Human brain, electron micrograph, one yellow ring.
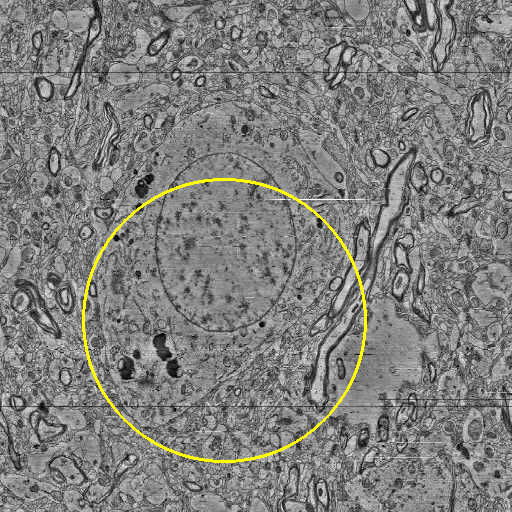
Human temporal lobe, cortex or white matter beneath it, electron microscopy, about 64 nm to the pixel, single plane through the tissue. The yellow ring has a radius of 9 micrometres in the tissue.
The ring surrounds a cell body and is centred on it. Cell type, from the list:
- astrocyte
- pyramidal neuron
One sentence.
The yellow ring circles a pyramidal neuron.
